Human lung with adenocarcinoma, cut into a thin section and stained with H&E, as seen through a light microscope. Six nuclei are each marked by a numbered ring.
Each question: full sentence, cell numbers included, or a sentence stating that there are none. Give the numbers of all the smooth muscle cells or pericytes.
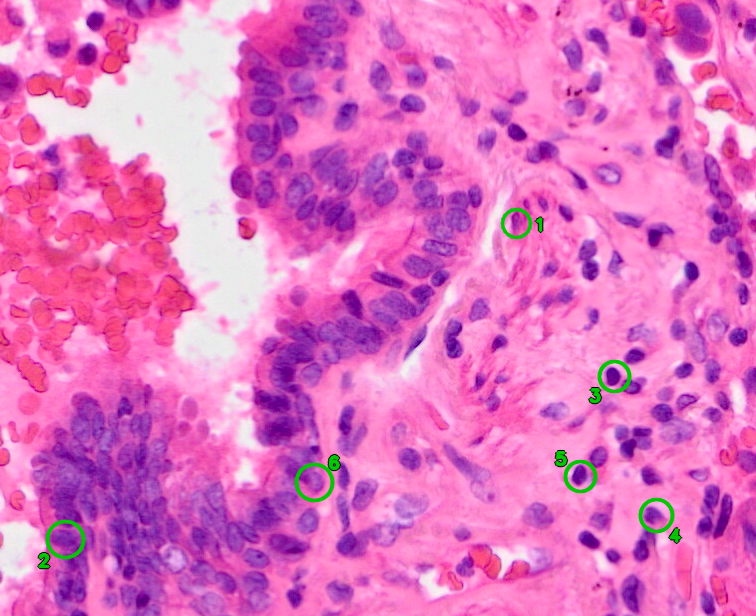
Only at number 1 is there a smooth muscle cell or pericyte among the marked cells.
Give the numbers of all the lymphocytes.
The cells given the numbers 3, 4 and 5 are lymphocytes.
